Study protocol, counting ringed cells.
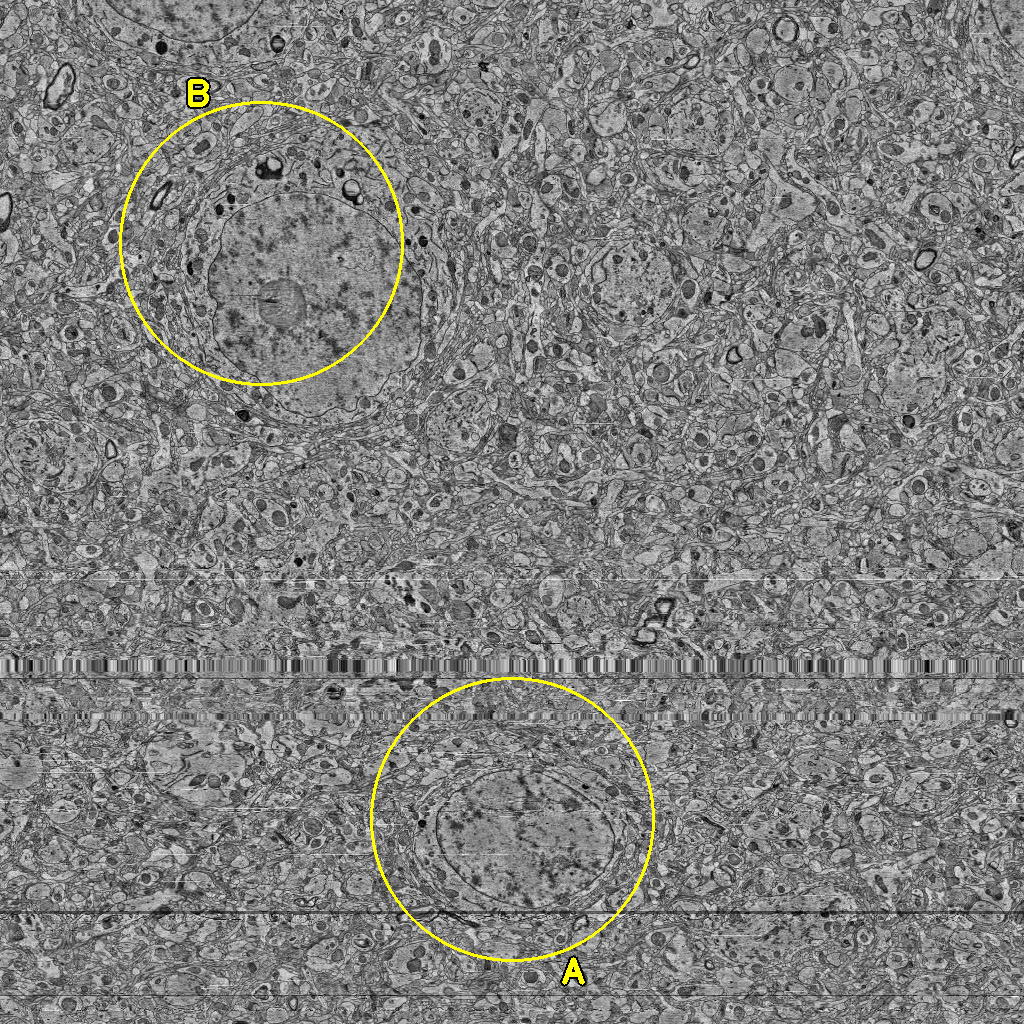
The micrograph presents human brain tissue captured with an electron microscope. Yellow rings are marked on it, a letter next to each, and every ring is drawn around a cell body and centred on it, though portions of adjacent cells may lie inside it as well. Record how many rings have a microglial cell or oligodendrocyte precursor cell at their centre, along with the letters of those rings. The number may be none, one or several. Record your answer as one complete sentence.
Rings centred on a microglial cell or oligodendrocyte precursor cell are absent from the micrograph, putting the count at zero.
